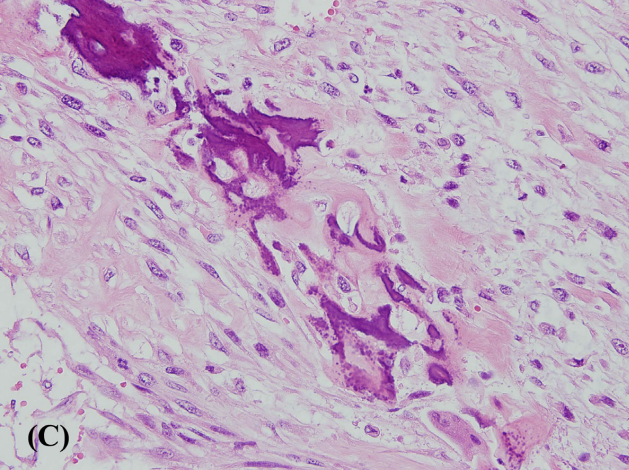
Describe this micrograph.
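This is a tumor in which spindle-shaped neoplastic cells lie in a pink stroma around irregular deposits of bone-like matrix. The deposits stain dark purple, are lace-like and branching, and have ragged edges. Tumor cells with oval, somewhat pleomorphic nuclei with visible chromatin line and are partly trapped by this matrix. Around them the background is loose and fibrillary with pale pink strands.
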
